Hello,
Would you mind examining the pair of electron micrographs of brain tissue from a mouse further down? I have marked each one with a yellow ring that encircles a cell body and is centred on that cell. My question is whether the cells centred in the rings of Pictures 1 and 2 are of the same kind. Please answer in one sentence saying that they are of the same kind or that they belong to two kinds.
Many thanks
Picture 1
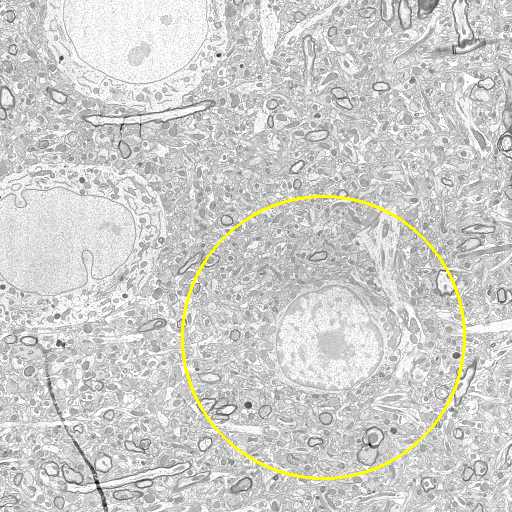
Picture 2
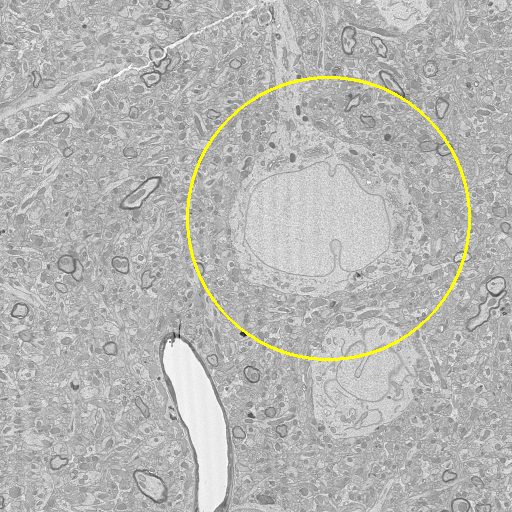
In Pictures 1 and 2, the cells at the heart of the rings belong to two kinds.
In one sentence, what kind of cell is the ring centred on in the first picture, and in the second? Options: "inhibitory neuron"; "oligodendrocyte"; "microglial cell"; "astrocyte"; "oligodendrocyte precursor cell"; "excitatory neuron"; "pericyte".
The cell at the centre of the second ring is an excitatory neuron; the first ring's cell is an oligodendrocyte.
